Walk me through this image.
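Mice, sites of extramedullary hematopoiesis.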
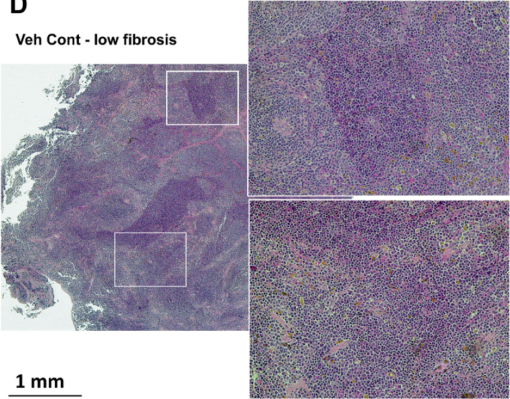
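This is a low-power section of spleen in which most of the tissue is densely cellular. In the magnified areas the tissue consists of closely packed small round cells with dark nuclei and scant cytoplasm. Toward one edge of the section the tissue is looser and paler.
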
